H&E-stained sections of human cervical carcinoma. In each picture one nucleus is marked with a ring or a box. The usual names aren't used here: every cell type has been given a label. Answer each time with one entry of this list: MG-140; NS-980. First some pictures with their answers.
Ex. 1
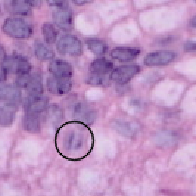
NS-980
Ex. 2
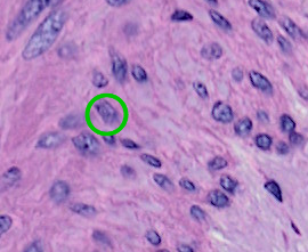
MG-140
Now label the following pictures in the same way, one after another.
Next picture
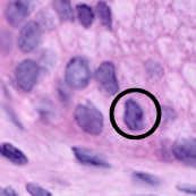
NS-980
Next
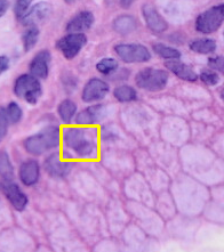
NS-980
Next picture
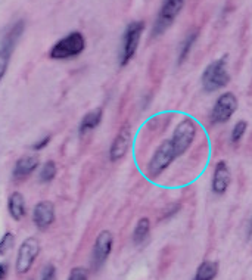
MG-140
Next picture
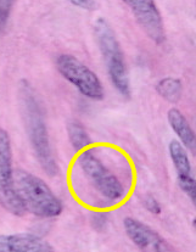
MG-140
